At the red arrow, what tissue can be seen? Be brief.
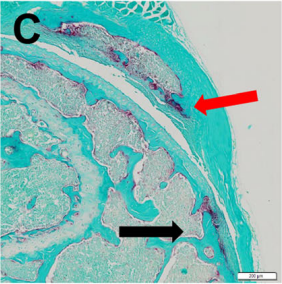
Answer: Patella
